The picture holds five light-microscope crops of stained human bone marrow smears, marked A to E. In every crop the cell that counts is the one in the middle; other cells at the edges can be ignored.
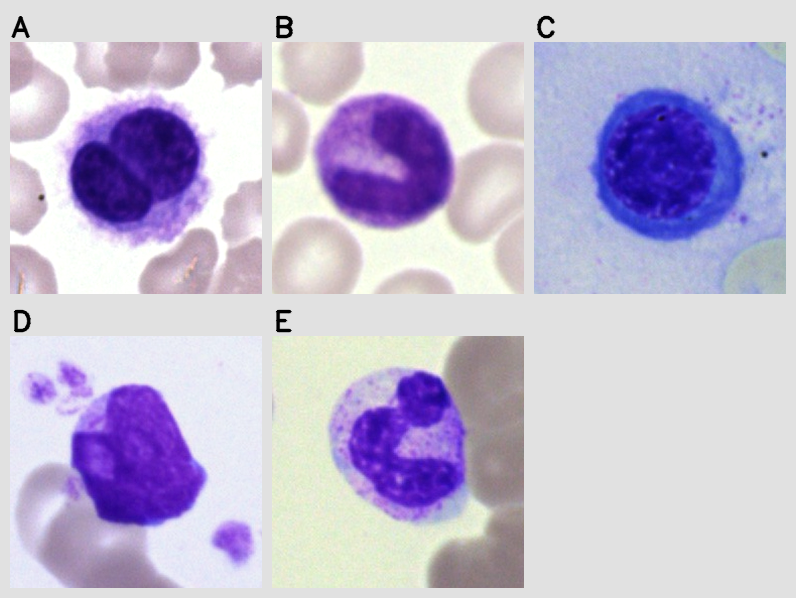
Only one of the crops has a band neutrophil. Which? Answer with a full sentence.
Crop B is the one in this set that shows a band neutrophil.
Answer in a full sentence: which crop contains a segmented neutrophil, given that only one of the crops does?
The correct choice is crop E, the one showing a segmented neutrophil.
